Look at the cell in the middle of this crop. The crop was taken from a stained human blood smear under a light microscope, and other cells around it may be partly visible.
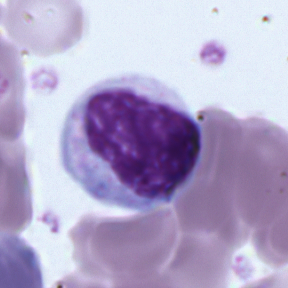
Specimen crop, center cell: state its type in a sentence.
The cell marked by its central position in the crop is a metamyelocyte.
